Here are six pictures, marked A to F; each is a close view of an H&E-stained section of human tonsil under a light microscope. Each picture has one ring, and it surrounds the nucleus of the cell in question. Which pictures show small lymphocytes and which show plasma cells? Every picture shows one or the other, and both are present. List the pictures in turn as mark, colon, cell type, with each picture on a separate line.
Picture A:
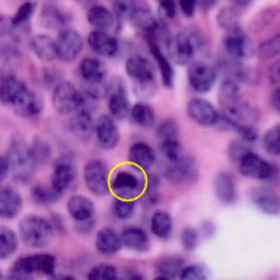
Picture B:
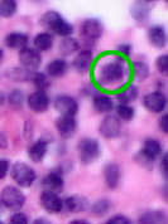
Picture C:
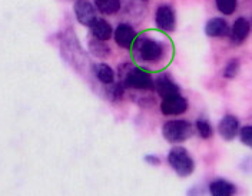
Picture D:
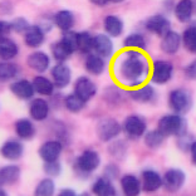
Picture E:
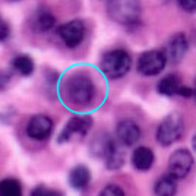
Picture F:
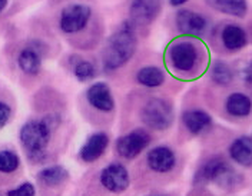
A: small lymphocyte
B: small lymphocyte
C: small lymphocyte
D: small lymphocyte
E: plasma cell
F: plasma cell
